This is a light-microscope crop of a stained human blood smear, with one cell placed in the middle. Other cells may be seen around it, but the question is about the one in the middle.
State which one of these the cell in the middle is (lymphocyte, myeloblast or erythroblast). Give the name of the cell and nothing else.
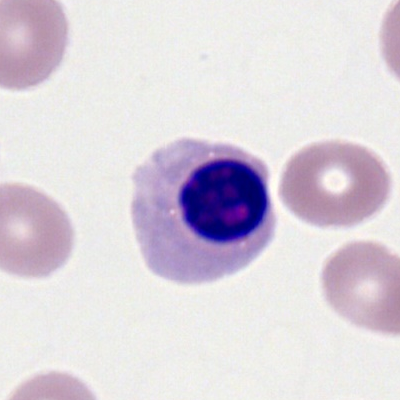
erythroblast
